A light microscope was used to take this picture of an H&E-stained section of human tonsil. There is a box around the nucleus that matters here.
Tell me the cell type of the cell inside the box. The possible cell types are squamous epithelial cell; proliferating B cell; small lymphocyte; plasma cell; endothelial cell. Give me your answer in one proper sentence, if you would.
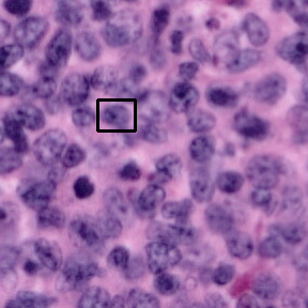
In terms of identity, the cell inside the box is a proliferating B cell.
